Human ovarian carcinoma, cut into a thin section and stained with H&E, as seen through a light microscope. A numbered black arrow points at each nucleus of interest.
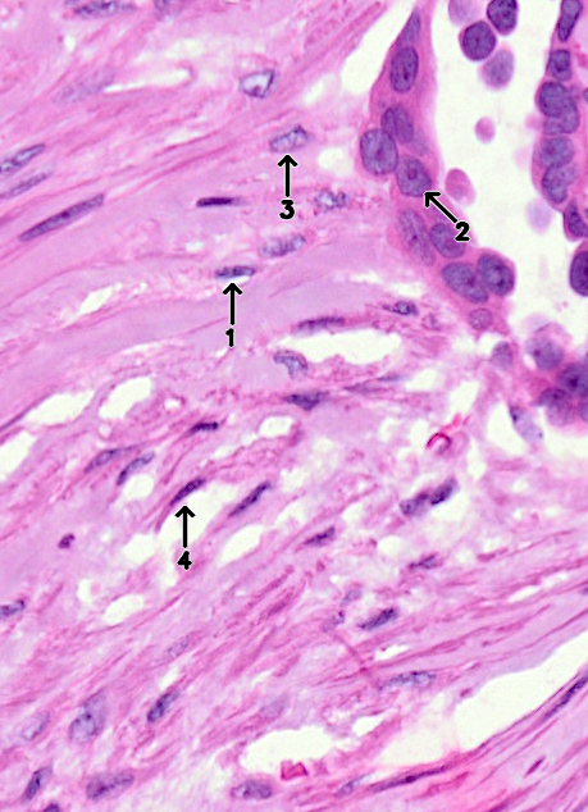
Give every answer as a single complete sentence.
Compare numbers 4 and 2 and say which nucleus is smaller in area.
Nucleus 4 covers less area, with nucleus 2 about 4 times as large.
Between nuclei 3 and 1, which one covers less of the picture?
The smaller nucleus is 1, and 3 covers roughly 1.5 times its area.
